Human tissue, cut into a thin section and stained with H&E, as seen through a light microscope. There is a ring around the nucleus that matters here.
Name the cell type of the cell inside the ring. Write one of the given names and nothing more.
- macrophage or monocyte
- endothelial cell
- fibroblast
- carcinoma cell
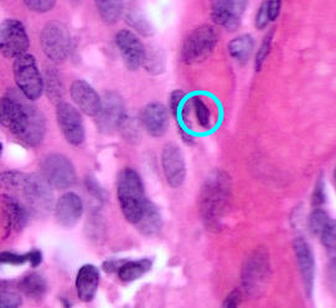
endothelial cell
